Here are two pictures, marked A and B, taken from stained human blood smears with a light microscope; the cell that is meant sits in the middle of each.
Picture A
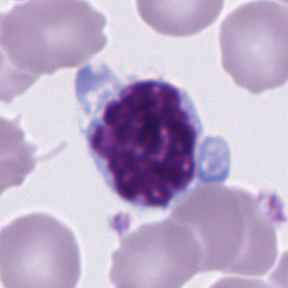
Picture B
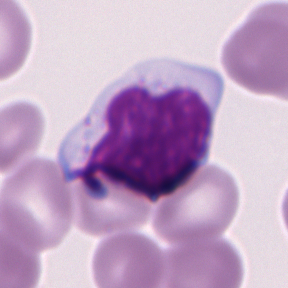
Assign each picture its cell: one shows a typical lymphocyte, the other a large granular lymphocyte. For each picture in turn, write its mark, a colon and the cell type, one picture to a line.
A: typical lymphocyte
B: large granular lymphocyte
